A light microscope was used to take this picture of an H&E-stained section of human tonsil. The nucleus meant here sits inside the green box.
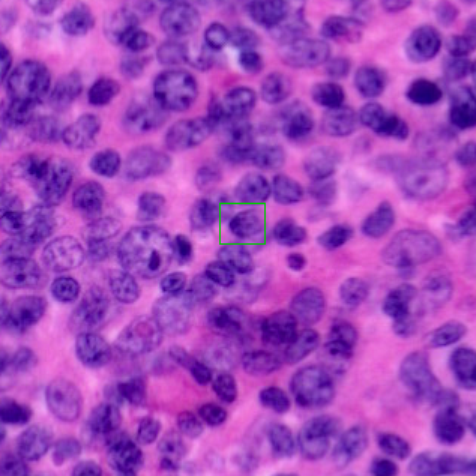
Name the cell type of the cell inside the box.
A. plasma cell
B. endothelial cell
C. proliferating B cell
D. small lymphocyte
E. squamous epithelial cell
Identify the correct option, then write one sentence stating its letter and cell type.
Option C is right in classifying the cell inside the box as a proliferating B cell.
